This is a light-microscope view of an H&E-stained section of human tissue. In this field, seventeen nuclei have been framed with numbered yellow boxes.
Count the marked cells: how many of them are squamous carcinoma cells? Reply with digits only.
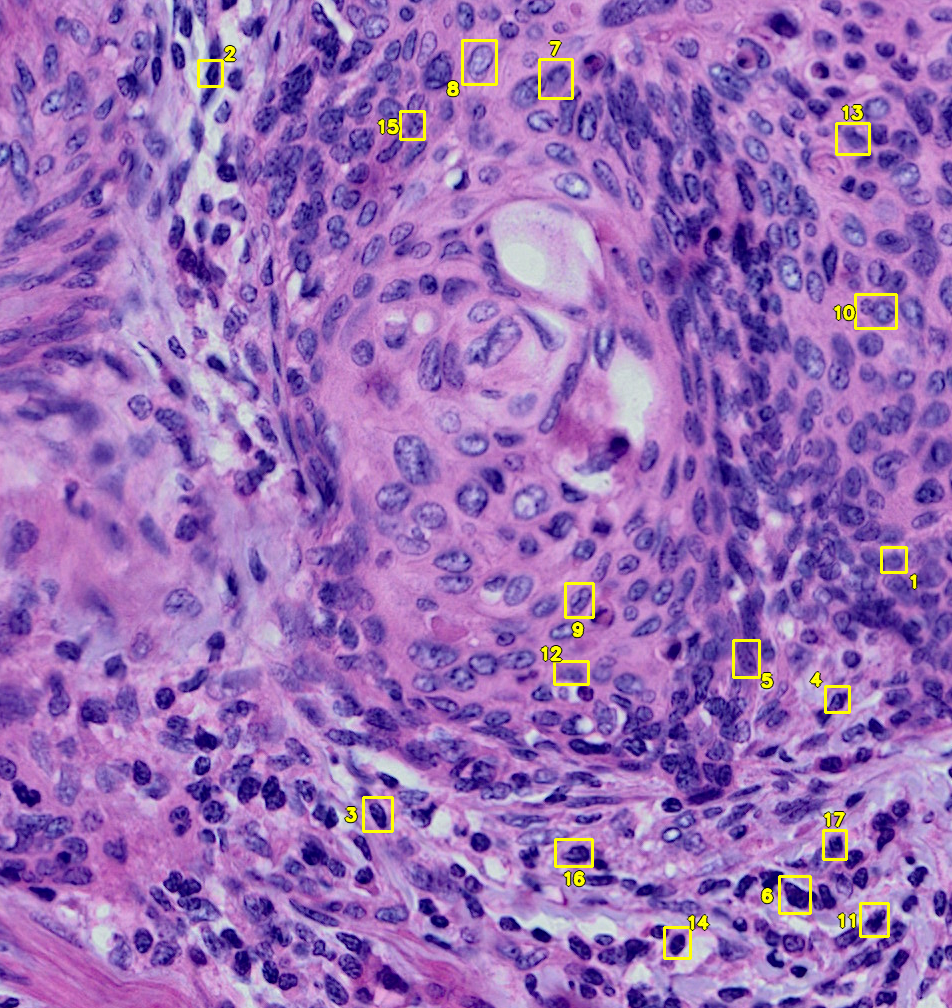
9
